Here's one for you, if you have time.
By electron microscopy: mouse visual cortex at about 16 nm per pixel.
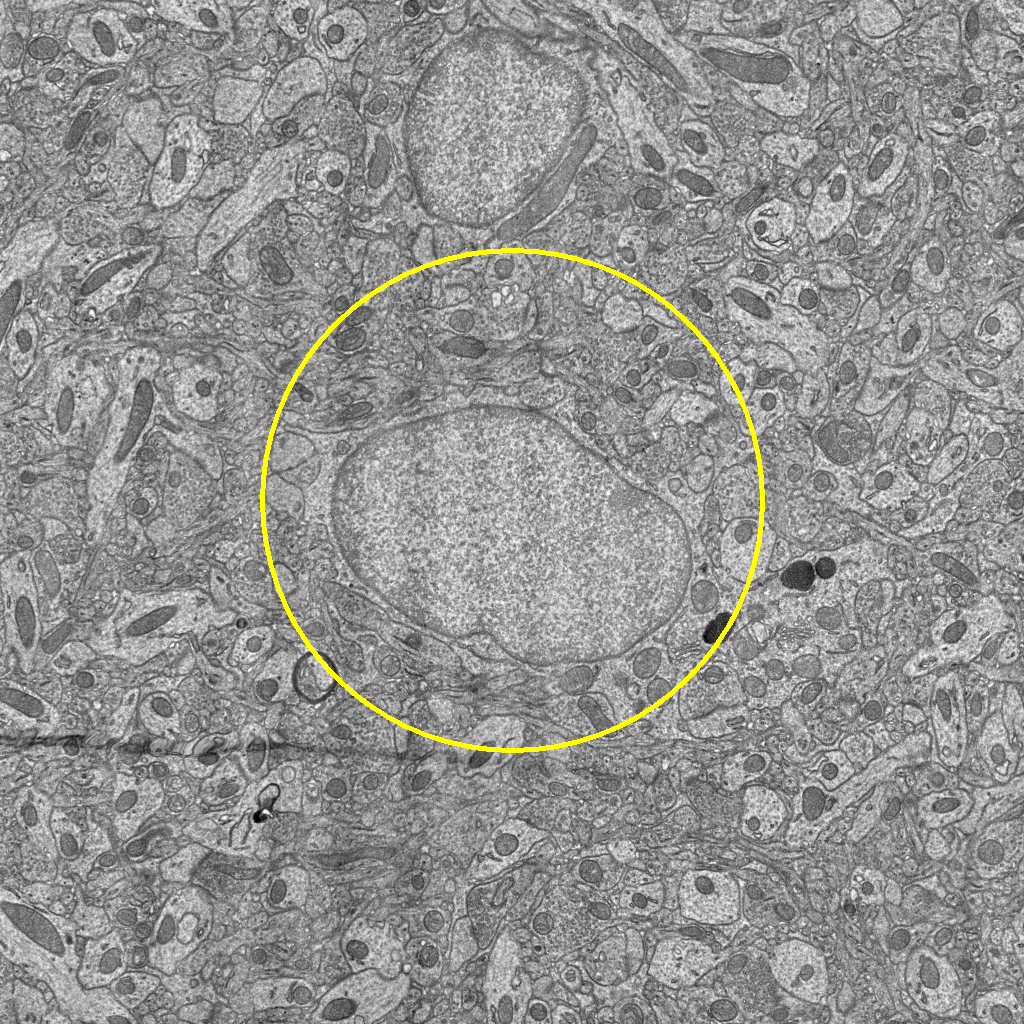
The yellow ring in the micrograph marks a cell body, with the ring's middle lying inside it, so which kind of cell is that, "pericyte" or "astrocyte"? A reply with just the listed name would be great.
astrocyte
